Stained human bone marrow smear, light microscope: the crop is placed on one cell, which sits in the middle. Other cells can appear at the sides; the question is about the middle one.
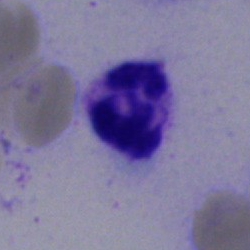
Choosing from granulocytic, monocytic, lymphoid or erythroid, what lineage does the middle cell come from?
granulocytic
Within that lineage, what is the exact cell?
segmented neutrophil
